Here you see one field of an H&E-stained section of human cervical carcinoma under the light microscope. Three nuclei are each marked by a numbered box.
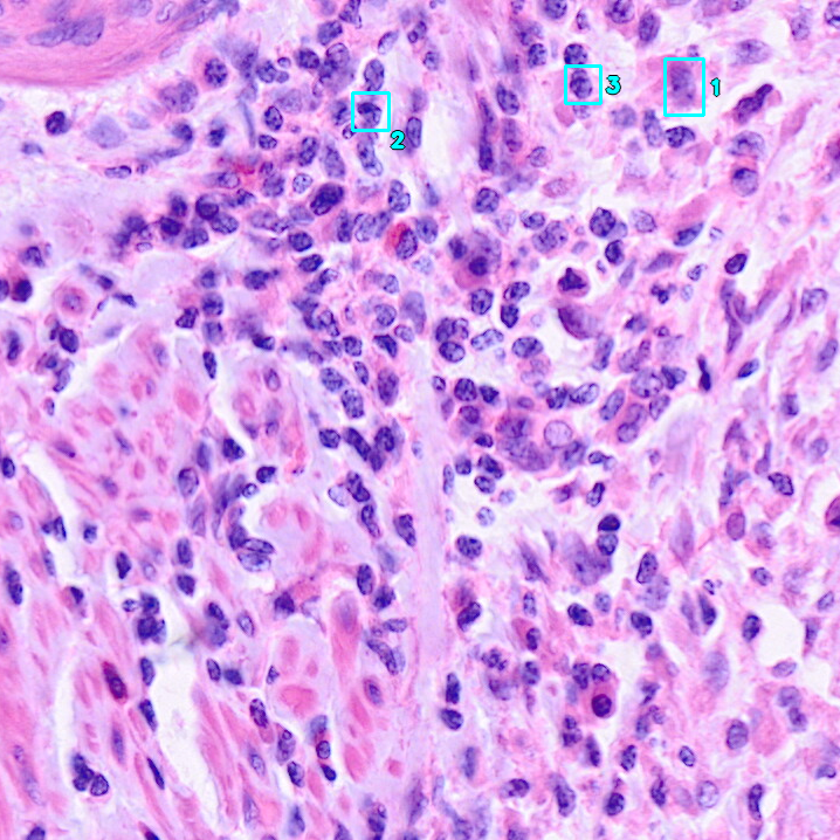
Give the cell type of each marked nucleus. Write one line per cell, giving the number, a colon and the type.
1: macrophage or monocyte
2: lymphocyte
3: lymphocyte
